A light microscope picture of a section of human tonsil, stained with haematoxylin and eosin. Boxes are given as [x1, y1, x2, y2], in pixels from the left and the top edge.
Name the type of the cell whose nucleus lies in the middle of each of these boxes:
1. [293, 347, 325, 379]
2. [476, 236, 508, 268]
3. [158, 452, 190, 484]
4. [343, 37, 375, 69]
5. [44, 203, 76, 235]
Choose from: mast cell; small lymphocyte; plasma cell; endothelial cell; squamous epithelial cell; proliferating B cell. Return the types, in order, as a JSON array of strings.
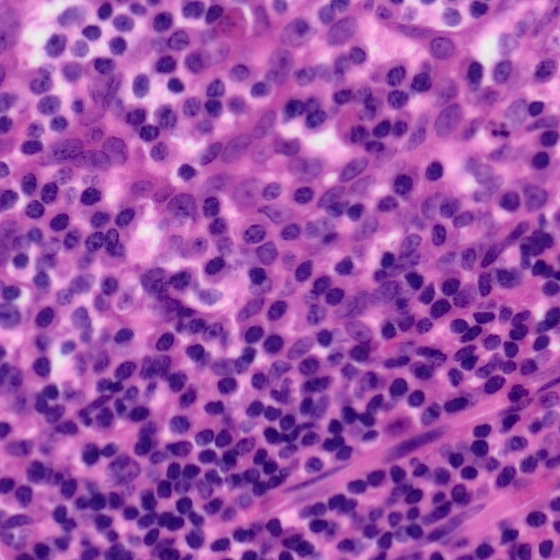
["plasma cell", "squamous epithelial cell", "small lymphocyte", "plasma cell", "plasma cell"]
